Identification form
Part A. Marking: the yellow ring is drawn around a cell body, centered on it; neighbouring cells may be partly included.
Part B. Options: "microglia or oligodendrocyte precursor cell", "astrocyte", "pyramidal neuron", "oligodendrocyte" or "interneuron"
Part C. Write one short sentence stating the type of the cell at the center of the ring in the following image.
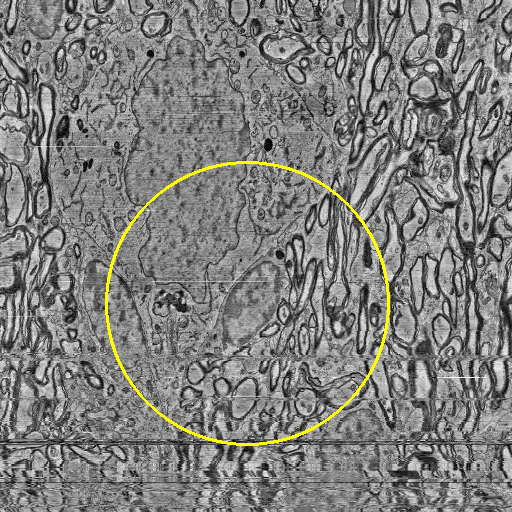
The center of the ring holds an oligodendrocyte.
